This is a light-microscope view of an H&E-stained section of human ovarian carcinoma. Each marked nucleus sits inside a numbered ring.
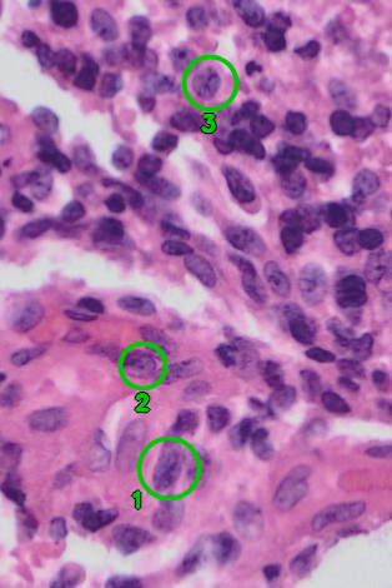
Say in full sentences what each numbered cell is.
Cell 1 is a carcinoma cell. Cell 2 is an endothelial cell. Cell 3 is a macrophage or monocyte.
